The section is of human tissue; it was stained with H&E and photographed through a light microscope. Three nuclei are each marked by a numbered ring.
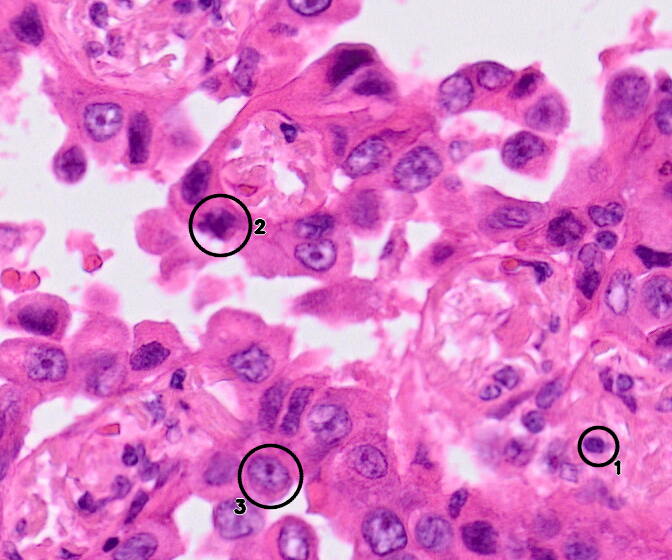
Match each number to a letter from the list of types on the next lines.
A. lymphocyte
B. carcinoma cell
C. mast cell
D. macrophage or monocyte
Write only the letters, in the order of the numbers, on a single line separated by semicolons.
A; B; B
